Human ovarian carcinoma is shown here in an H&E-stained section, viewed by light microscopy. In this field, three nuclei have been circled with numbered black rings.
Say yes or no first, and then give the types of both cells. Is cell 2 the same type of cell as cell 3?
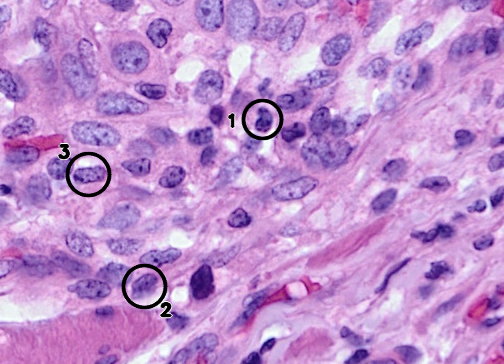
Yes, the two numbered cells, 2 and 3, are both macrophages or monocytes.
